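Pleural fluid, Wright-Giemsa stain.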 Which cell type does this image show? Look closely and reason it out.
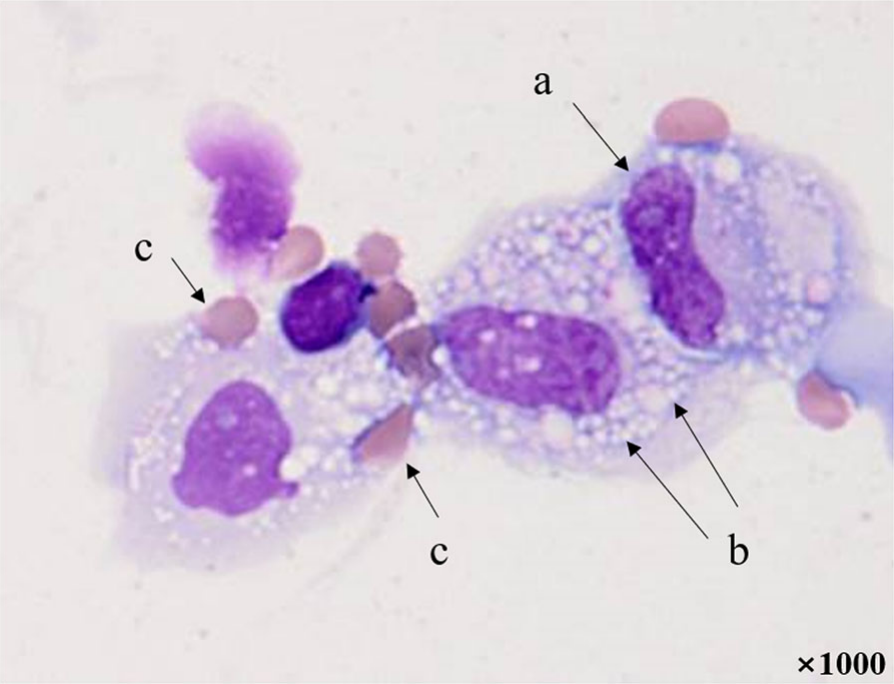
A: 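Histiocytes. Several large cells with abundant pale blue-grey cytoplasm. The cytoplasm is filled with many small clear vacuoles. Each large cell has a single purple nucleus set to one side.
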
